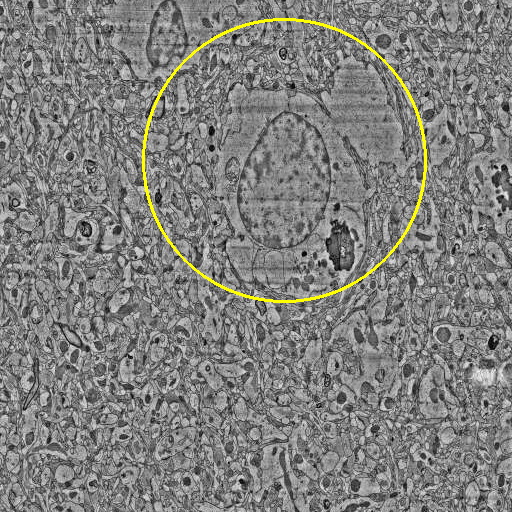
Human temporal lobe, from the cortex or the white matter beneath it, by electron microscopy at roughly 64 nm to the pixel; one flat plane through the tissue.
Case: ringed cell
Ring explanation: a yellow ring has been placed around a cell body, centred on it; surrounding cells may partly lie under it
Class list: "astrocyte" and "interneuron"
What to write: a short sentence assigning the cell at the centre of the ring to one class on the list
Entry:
The cell at the ring's centre is an astrocyte.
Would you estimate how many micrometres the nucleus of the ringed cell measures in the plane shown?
About 9 by 6 micrometers in this plane, so the nucleus is clearly longer than it is wide.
